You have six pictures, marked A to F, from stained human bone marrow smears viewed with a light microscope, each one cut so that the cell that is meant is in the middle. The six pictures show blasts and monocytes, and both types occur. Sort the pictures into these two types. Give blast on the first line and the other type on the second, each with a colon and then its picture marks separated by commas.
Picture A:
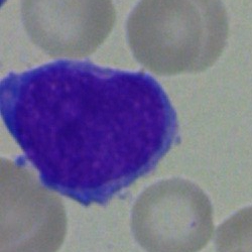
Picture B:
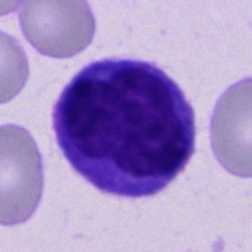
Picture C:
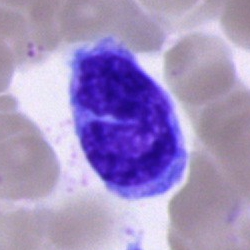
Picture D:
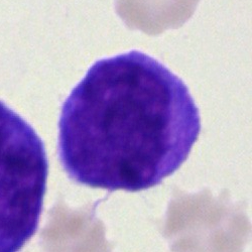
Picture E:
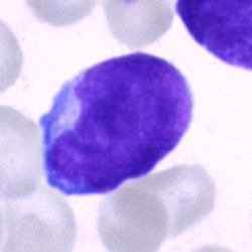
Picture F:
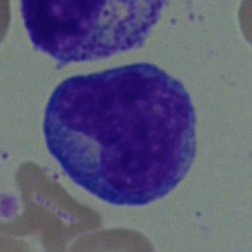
blast: A, D, E, F
monocyte: B, C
